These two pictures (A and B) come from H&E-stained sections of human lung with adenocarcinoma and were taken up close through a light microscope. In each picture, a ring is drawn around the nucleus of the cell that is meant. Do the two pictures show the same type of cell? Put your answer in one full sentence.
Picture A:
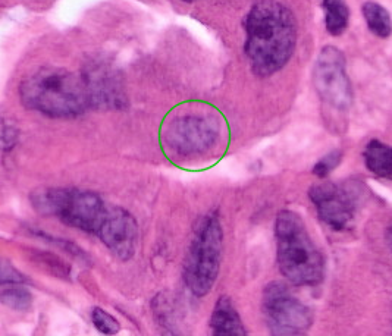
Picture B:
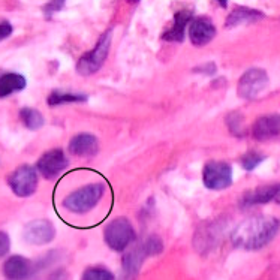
No, they differ: the cell is a carcinoma cell in picture A and a lymphocyte in picture B.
